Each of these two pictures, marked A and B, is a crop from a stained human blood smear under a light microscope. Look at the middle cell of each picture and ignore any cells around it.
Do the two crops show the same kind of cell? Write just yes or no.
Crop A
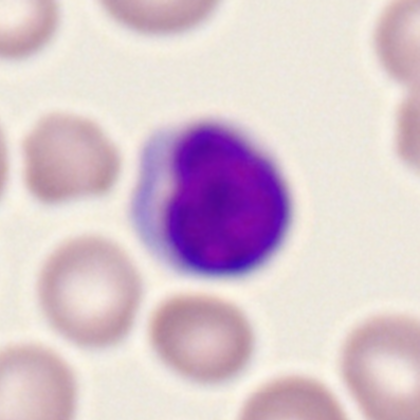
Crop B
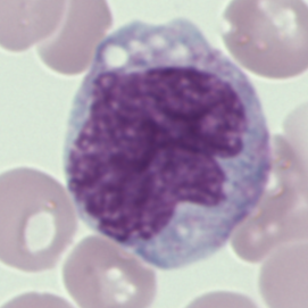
no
